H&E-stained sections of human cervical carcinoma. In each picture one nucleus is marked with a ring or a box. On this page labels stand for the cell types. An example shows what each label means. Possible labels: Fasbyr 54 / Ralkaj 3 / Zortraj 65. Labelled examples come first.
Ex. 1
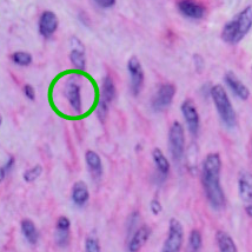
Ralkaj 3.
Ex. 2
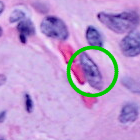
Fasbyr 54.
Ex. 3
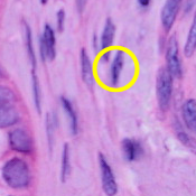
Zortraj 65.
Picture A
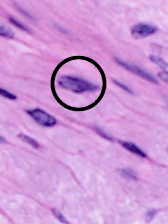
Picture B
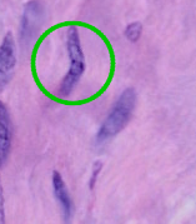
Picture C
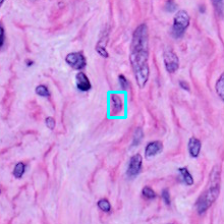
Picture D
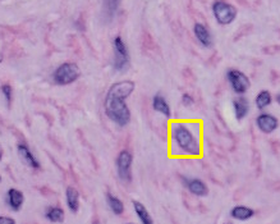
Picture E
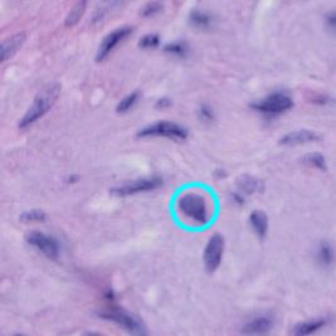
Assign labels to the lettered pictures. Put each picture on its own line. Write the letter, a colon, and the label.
A: Zortraj 65.
B: Zortraj 65.
C: Ralkaj 3.
D: Ralkaj 3.
E: Zortraj 65.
